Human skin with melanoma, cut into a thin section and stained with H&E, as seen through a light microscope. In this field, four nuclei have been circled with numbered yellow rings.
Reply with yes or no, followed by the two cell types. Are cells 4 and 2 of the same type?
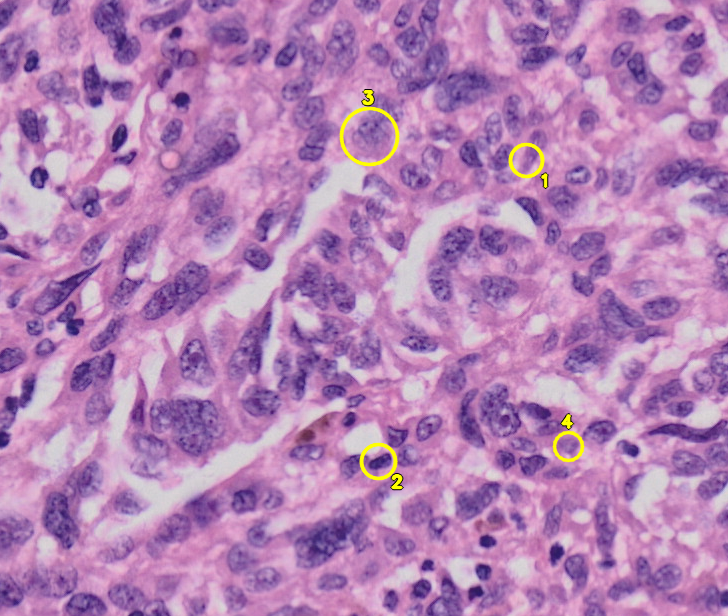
No, cell 4 is a melanoma cell and cell 2 is a lymphocyte.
